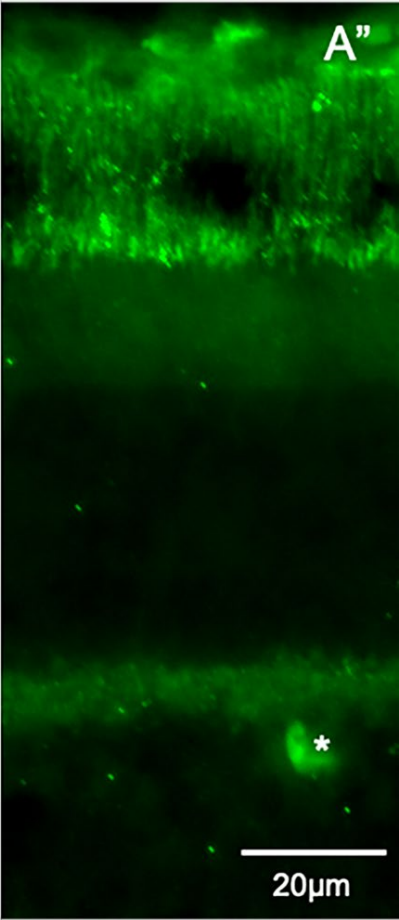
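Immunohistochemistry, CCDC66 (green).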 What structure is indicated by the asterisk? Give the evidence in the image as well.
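Blood vessel. The structure lies just below a faint green horizontal band, in the lower part of the section.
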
